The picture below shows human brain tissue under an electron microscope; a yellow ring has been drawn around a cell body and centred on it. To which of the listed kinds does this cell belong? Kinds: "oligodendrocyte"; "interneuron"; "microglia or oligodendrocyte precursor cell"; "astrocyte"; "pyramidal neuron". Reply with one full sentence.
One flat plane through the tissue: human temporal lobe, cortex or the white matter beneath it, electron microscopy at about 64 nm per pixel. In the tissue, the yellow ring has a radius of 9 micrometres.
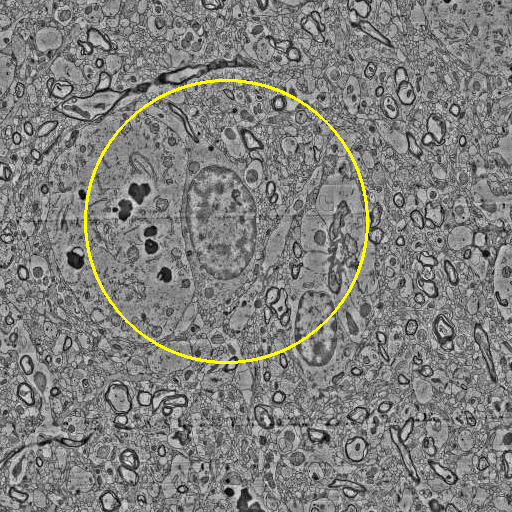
It is an oligodendrocyte that the yellow ring in the picture is centred on.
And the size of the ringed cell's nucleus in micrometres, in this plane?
In this plane, approximately 7 by 5 micrometers, and clearly longer than it is wide.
